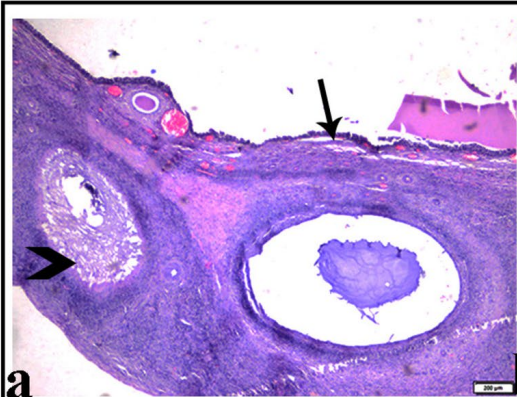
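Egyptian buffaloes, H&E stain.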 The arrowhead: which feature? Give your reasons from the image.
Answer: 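Atretic ovarian follicle. A rounded follicle-like cavity surrounded by a thick dark-staining wall. Its lumen holds loose, disorganised pale material instead of a clear, intact content.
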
